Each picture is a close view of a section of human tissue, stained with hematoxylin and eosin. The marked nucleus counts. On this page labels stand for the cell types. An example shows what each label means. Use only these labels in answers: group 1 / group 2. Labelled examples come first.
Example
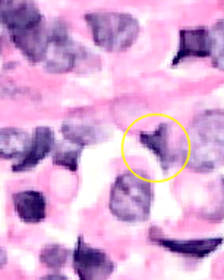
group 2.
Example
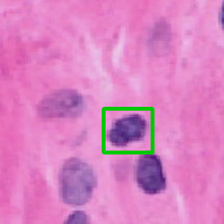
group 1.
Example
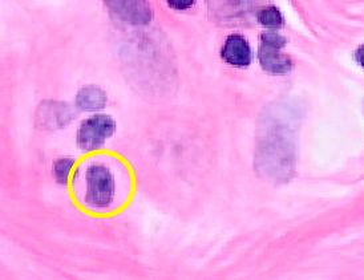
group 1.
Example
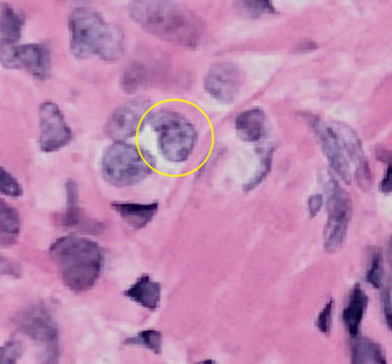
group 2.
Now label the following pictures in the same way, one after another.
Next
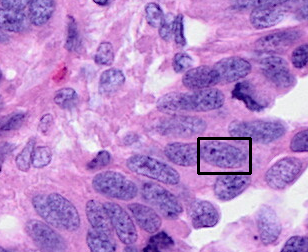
group 2.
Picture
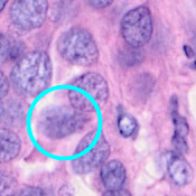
group 2.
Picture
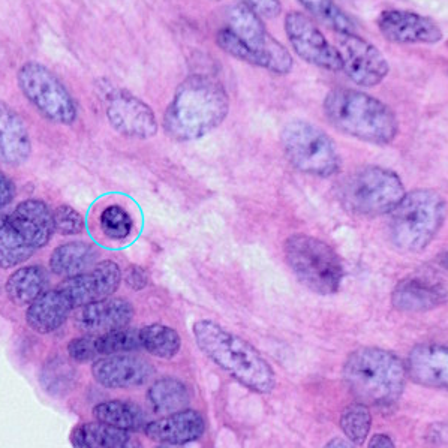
group 1.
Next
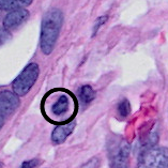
group 1.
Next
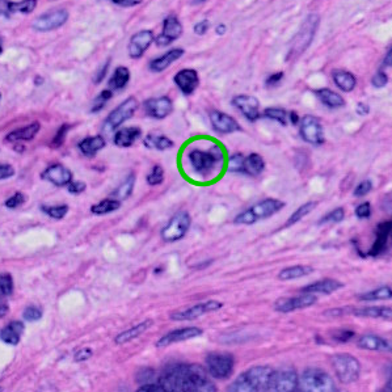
group 1.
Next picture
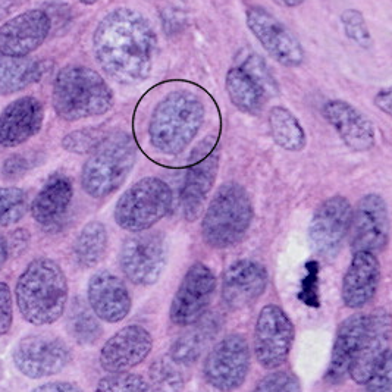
group 2.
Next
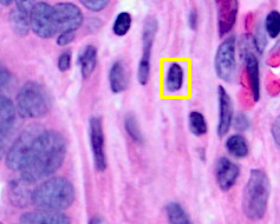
group 1.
